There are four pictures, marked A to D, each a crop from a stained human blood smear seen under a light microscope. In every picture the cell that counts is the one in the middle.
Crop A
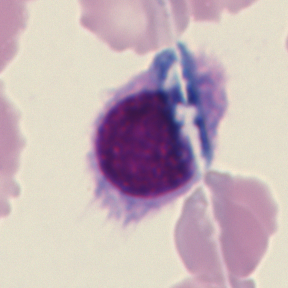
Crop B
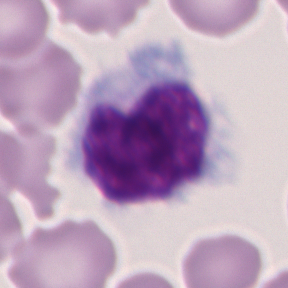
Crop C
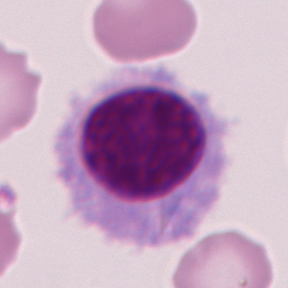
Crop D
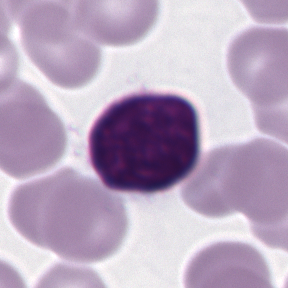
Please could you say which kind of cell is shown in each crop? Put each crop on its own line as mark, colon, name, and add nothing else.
A: hairy cell
B: hairy cell
C: hairy cell
D: smudge cell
